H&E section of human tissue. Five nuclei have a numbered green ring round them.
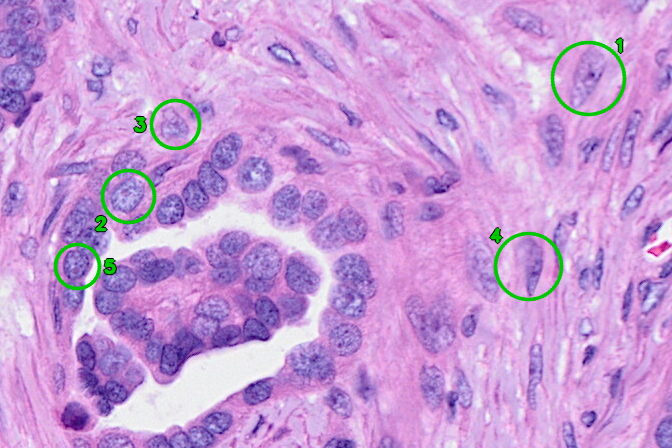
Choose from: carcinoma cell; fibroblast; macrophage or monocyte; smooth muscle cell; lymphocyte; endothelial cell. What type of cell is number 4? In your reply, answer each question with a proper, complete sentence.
The cell pointed out as number 4 is a fibroblast.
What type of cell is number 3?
The marked cell with the number 3 is recognised as a fibroblast.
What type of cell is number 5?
Denoted by the label 5 in the section is a carcinoma cell.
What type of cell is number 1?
Nucleus 1 in this section belongs to a fibroblast.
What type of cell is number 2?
The cell pointed out by number 2 is a carcinoma cell.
